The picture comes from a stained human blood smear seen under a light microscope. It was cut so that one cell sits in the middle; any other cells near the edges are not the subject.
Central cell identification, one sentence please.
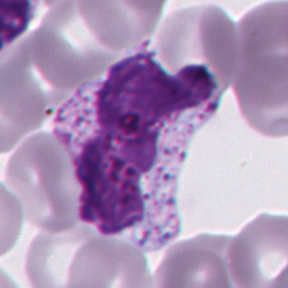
The cell positioned in the middle of the field is a basophil.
